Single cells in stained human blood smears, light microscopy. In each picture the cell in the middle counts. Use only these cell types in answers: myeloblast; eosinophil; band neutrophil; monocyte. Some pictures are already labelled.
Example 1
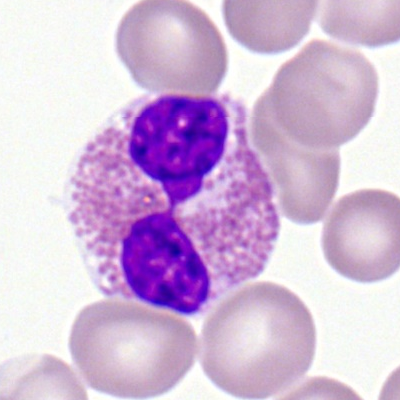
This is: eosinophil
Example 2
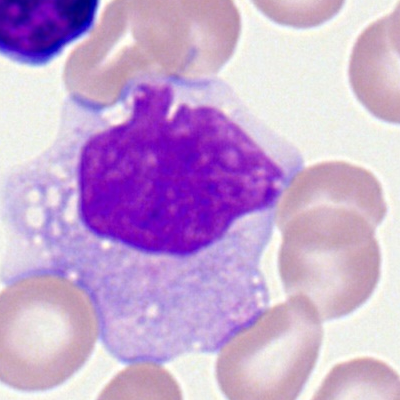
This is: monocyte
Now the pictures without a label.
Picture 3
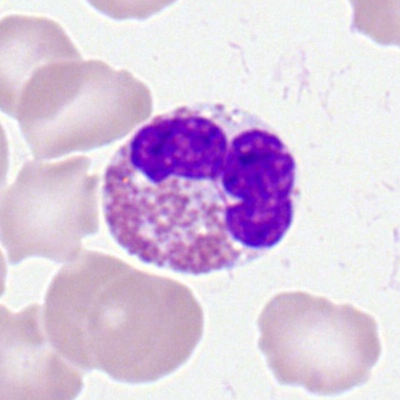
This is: eosinophil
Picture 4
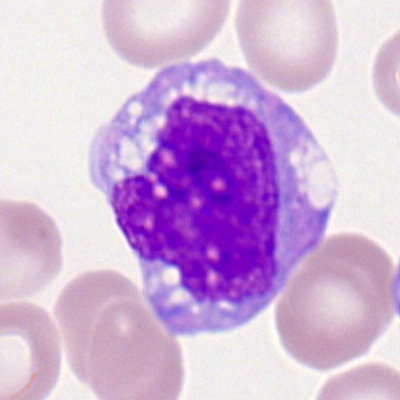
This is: monocyte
